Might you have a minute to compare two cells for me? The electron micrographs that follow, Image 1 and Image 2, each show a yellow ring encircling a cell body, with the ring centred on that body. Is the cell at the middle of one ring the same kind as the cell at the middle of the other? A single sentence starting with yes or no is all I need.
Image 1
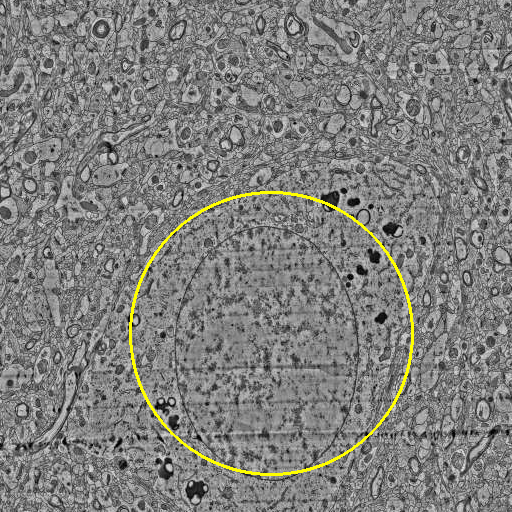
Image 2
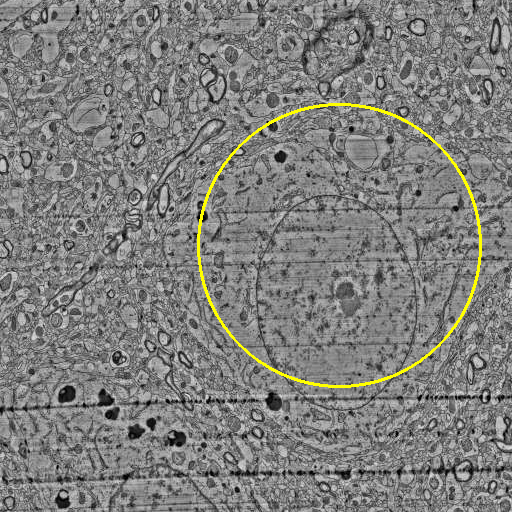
Yes, the cells in the middle of the two rings are of one shared kind.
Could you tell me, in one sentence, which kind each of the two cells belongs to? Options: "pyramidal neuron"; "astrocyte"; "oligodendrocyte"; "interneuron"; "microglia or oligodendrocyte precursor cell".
Both pictures show a pyramidal neuron at the centre of the ring.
